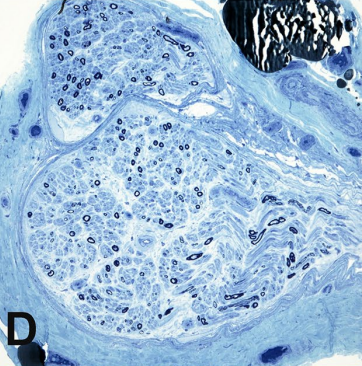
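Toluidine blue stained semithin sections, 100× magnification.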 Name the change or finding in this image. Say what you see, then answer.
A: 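Two nerve fascicles are cut across, each ringed by a sheath. Dark myelin rings are crowded in some areas and sparse in others.
Variation in fiber density.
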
